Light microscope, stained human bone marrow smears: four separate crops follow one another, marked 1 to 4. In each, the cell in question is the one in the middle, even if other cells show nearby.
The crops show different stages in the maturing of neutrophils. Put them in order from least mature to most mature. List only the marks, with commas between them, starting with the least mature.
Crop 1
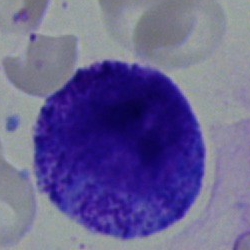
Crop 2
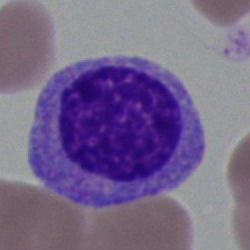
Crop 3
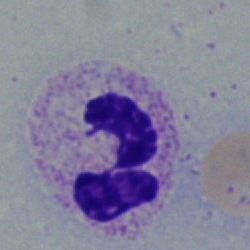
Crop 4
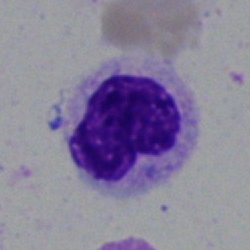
1, 2, 4, 3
